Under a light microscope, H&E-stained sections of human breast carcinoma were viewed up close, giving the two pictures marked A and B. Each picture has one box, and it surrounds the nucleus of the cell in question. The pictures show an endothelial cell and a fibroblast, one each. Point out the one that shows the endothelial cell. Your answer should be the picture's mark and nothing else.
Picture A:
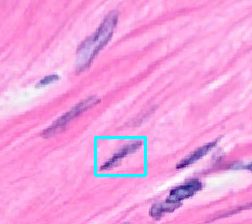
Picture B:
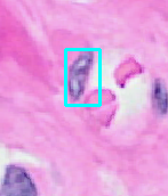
B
